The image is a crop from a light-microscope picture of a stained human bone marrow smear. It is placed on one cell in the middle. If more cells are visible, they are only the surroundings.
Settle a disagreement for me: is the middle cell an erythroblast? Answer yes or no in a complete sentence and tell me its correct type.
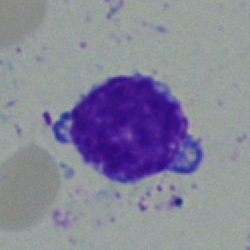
No, mark the middle cell as a lymphocyte, not an erythroblast.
